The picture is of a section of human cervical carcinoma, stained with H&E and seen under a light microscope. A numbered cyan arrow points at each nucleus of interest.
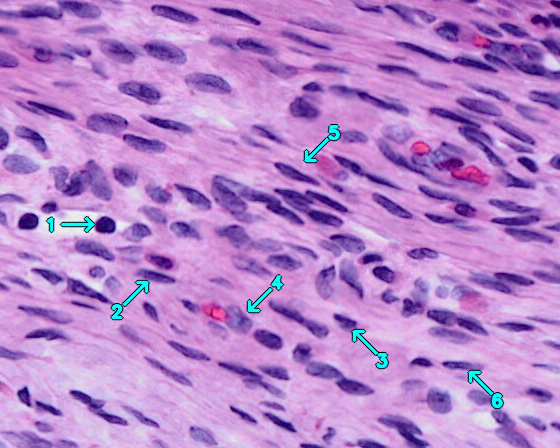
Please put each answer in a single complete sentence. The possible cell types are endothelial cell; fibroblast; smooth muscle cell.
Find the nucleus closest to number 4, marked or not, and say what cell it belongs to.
It is an endothelial cell whose nucleus is nearest to number 4.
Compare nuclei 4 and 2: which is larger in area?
Of the two, number 4 is bigger and takes up about 1.5 times the area of number 2.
